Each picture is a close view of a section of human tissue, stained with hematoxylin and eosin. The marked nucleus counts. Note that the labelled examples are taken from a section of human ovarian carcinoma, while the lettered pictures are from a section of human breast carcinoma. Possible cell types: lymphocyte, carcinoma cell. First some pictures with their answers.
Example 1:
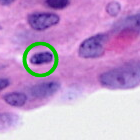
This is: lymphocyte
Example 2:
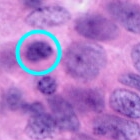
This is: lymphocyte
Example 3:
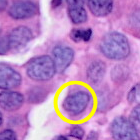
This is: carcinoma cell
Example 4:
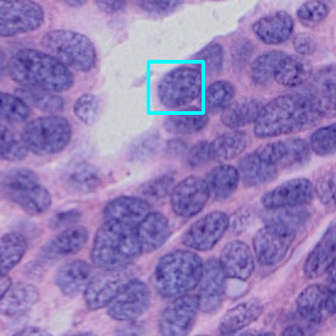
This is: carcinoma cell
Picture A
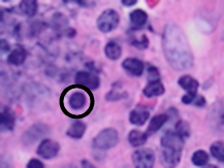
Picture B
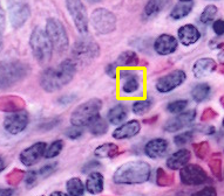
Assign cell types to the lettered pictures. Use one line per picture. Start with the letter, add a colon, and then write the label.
A: lymphocyte
B: lymphocyte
